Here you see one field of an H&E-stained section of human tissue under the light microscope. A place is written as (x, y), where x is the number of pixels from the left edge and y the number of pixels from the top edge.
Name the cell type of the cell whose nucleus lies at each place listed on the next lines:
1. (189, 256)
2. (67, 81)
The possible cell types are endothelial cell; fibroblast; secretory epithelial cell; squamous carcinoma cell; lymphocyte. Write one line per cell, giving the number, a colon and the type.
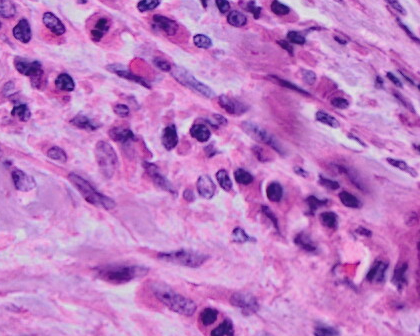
1: fibroblast
2: lymphocyte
